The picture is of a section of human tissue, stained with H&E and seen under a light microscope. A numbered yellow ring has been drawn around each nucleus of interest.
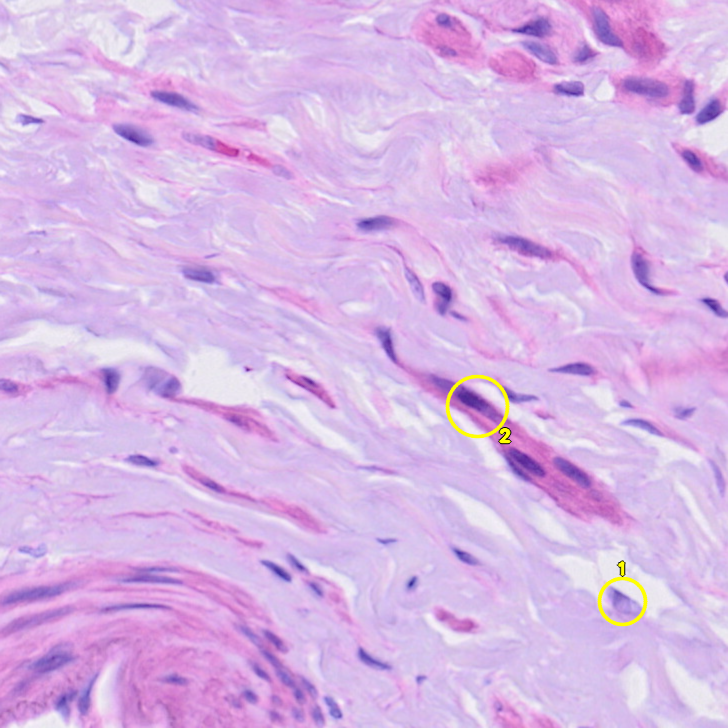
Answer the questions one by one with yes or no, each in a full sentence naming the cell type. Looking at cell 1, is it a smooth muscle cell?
No, the cell bearing number 1 is not a smooth muscle cell but a fibroblast.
